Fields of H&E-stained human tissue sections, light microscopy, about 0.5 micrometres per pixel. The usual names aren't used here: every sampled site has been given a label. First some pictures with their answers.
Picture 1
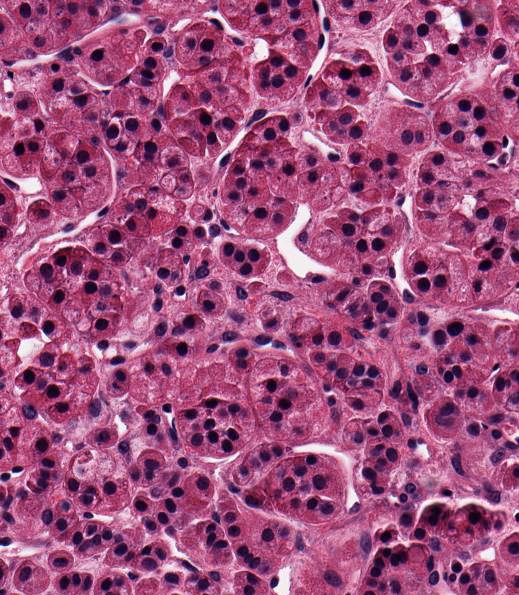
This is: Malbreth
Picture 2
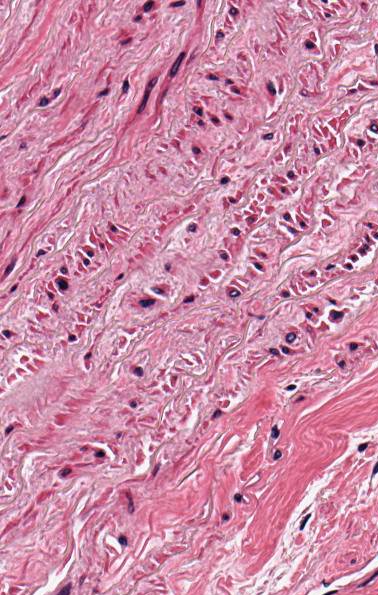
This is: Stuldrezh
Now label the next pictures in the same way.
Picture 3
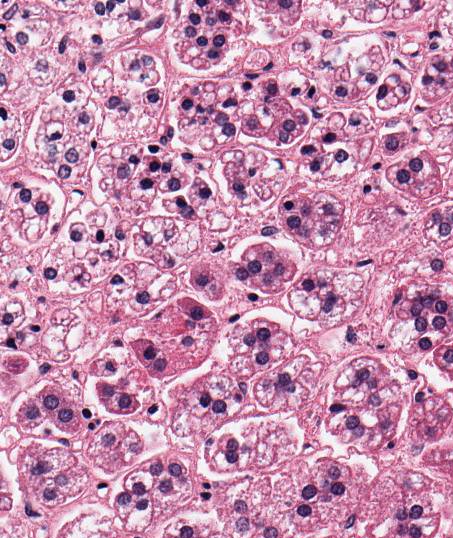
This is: Malbreth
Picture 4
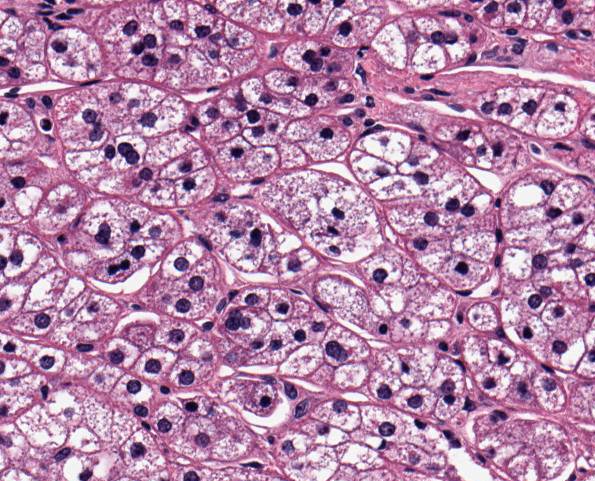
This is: Malbreth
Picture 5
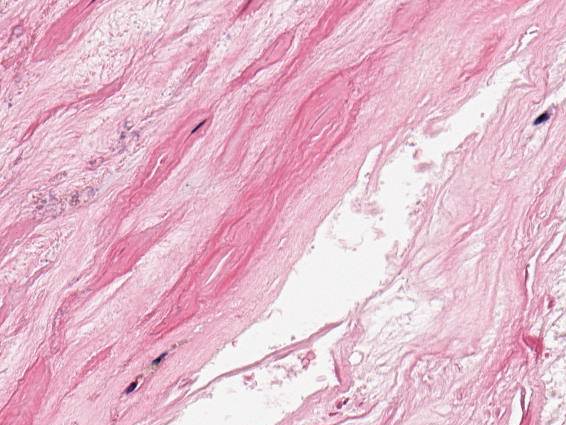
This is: Stuldrezh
